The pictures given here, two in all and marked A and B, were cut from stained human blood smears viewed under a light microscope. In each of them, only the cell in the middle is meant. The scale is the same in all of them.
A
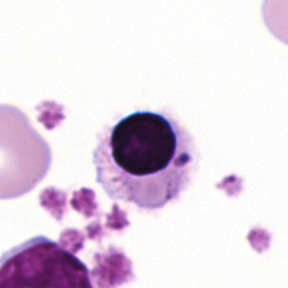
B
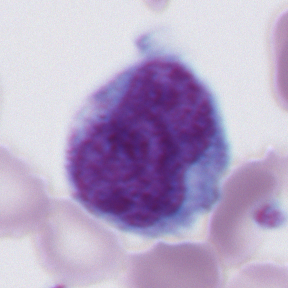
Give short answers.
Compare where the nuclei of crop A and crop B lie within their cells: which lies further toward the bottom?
B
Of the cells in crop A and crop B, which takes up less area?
A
